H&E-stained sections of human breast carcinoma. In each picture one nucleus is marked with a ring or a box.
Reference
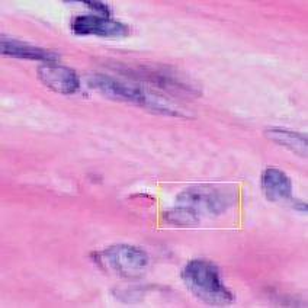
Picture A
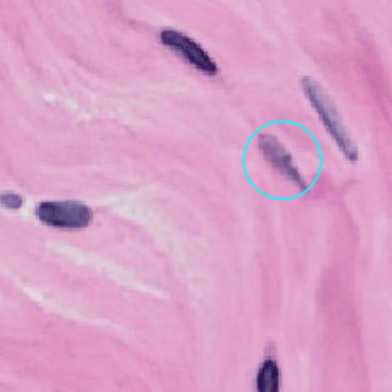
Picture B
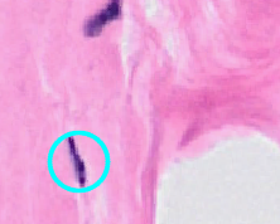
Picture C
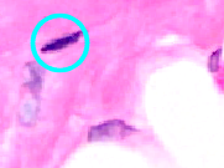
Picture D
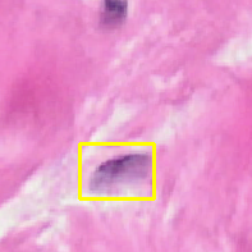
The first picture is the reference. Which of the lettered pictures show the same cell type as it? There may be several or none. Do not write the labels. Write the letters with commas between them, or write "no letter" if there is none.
no letter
